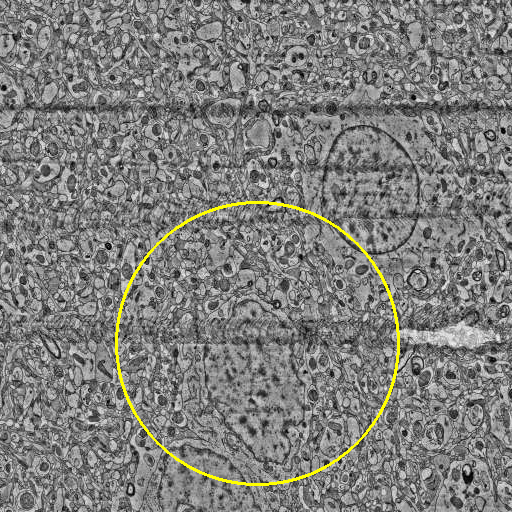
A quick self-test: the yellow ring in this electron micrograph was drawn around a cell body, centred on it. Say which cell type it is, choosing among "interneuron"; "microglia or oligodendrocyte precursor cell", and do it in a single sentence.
The yellow-ringed cell is an interneuron.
